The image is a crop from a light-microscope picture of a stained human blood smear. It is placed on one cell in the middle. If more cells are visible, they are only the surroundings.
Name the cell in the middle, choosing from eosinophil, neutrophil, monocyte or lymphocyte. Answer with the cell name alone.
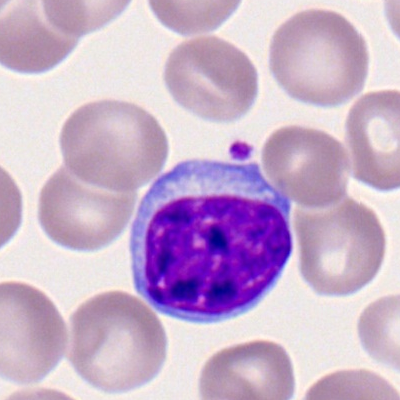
lymphocyte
